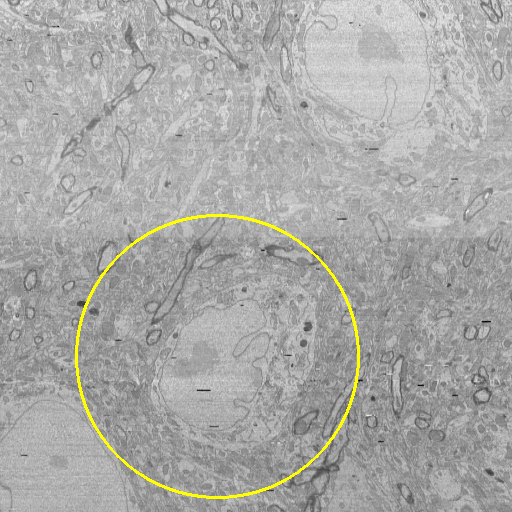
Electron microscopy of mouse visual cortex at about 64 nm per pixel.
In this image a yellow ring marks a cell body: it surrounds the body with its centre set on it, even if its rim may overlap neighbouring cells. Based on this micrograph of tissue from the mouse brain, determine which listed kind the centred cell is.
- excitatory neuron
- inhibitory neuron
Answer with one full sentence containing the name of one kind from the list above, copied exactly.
It is an inhibitory neuron whose body the yellow ring encloses at its centre.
